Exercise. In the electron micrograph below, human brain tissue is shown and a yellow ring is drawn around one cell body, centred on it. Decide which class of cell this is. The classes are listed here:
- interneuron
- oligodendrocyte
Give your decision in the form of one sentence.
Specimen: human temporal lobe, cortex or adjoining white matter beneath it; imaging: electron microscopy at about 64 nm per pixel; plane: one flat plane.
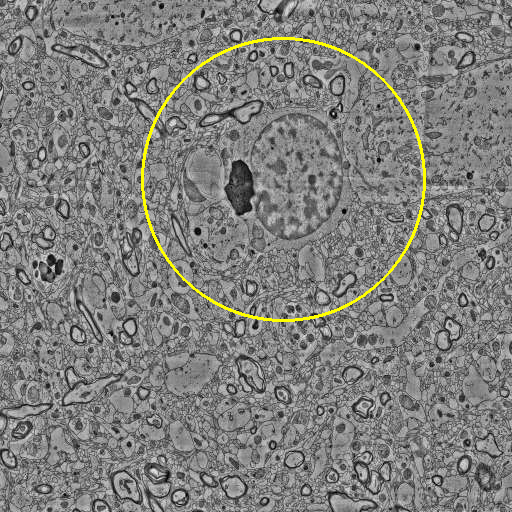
The cell body marked by the ring belongs to an oligodendrocyte.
